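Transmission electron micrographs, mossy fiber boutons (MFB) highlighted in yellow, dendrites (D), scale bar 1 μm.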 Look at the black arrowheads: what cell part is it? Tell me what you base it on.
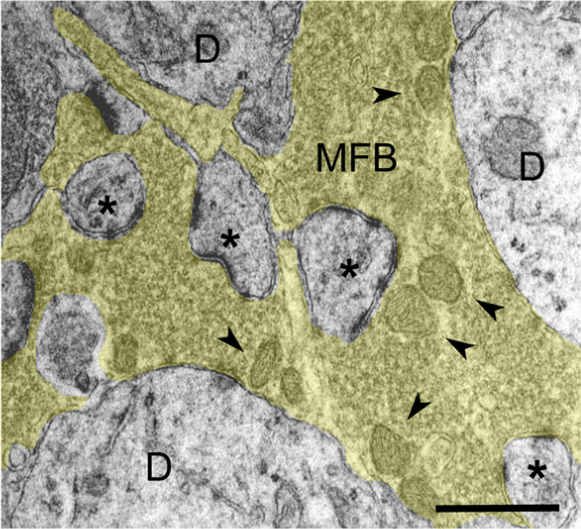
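Mitochondria. The arrowheads point to oval organelles with internal cristae-like folds. They lie within the yellow-shaded terminal.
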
